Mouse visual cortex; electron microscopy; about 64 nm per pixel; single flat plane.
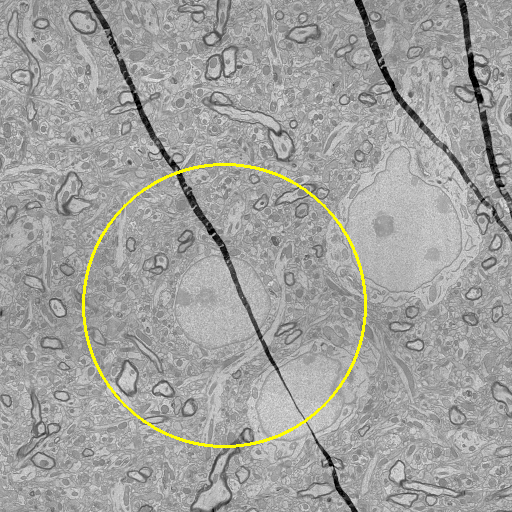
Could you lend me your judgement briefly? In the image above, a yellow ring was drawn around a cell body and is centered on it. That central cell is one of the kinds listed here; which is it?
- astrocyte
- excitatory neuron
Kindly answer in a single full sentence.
Going by the list, an astrocyte is the kind at the ring's center in the picture.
